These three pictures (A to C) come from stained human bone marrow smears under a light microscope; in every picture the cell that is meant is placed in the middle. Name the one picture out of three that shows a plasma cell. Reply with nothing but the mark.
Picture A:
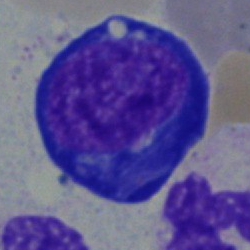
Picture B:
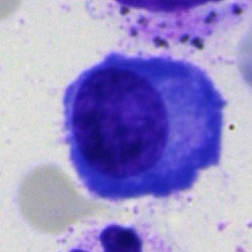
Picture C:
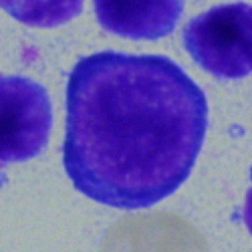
B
